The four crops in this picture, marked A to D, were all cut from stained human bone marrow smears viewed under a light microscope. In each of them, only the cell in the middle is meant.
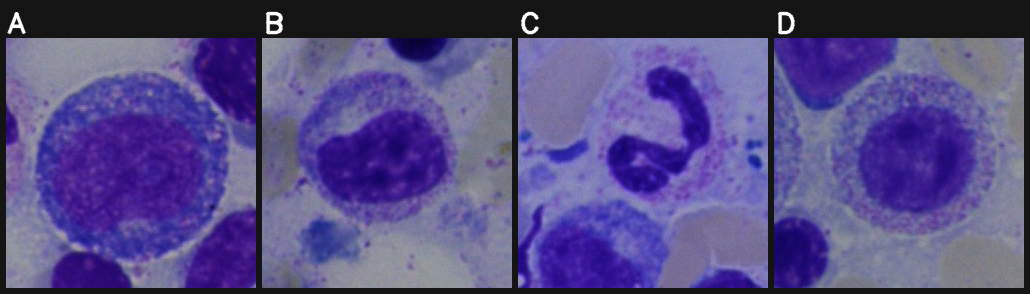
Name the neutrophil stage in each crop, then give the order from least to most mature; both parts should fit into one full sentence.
Maturity rises in the sequence crop A (a promyelocyte), crop D (a myelocyte), crop B (a metamyelocyte) and crop C (a segmented neutrophil).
